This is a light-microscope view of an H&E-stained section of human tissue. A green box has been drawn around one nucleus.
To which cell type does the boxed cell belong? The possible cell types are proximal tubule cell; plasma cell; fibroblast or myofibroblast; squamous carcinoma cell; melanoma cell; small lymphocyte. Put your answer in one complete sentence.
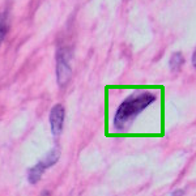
Recorded by type, the boxed cell is a fibroblast or myofibroblast.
